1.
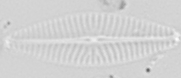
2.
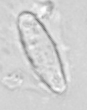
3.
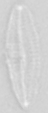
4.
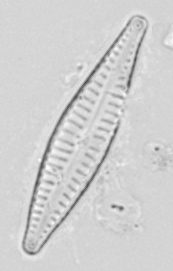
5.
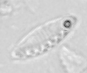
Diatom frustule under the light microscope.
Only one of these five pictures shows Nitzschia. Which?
Picture 5.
